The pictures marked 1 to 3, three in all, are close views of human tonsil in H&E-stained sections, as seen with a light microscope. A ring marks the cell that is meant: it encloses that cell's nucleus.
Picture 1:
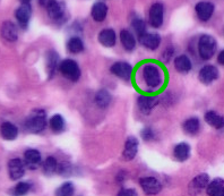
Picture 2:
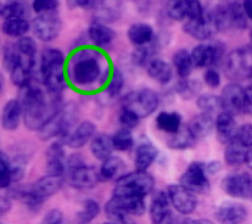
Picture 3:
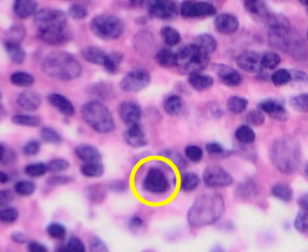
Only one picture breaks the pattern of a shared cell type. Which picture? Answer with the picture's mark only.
1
